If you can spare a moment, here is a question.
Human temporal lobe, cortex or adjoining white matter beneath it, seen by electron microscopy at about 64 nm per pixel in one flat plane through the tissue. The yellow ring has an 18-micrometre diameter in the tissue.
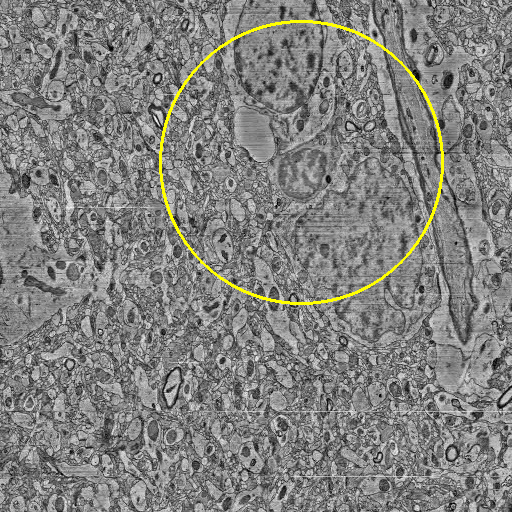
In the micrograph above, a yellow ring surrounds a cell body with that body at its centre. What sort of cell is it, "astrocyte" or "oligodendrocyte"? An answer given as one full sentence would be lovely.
Centred inside the yellow ring, the cell body shown belongs to an oligodendrocyte in this micrograph.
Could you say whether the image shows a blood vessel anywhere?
Yes, a blood vessel shows in the picture.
